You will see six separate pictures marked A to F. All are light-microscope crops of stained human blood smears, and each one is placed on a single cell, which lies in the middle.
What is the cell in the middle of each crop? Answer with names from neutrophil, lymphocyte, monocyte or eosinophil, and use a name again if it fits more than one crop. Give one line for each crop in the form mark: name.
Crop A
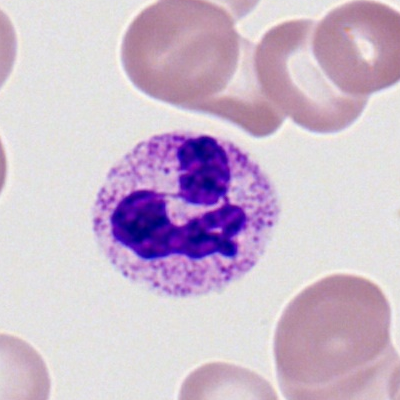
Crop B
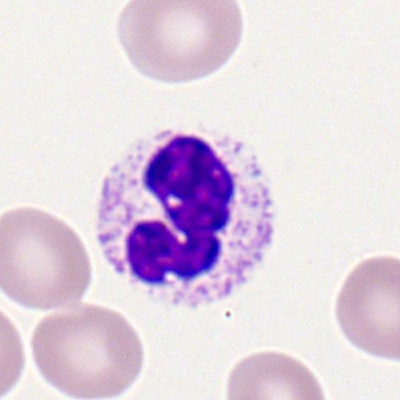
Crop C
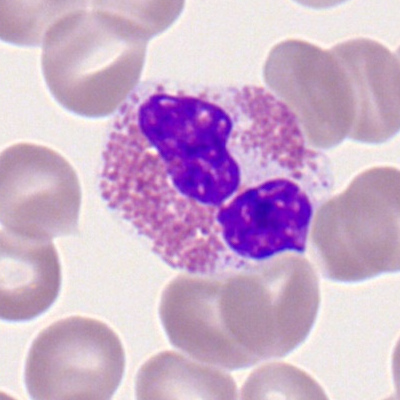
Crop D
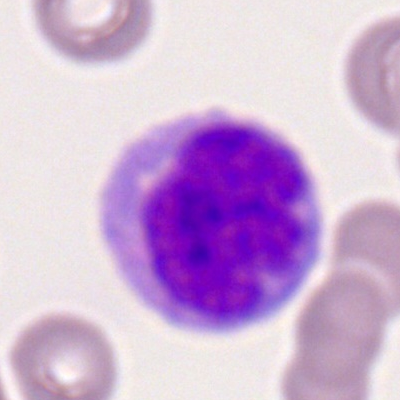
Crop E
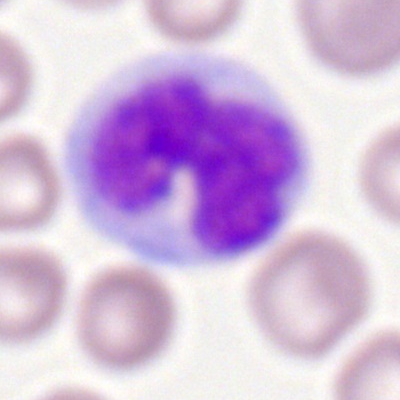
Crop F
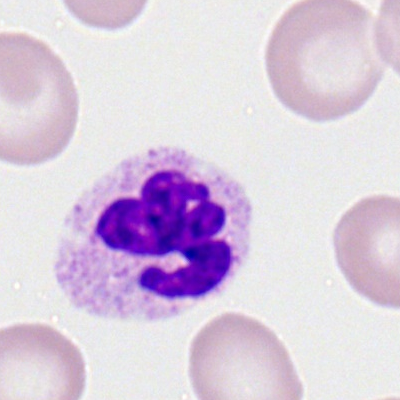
A: neutrophil
B: neutrophil
C: eosinophil
D: monocyte
E: monocyte
F: neutrophil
